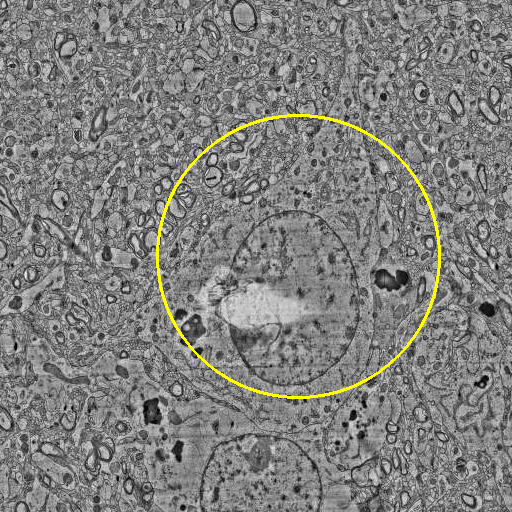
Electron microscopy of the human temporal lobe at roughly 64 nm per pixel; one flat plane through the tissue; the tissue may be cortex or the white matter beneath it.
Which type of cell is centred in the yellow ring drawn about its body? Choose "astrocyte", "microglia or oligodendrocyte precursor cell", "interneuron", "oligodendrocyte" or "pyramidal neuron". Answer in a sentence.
The yellow ring surrounds the cell body of a pyramidal neuron.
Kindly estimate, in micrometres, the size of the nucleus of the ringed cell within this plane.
The nucleus works out at approximately 11 by 9 micrometres in this plane.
